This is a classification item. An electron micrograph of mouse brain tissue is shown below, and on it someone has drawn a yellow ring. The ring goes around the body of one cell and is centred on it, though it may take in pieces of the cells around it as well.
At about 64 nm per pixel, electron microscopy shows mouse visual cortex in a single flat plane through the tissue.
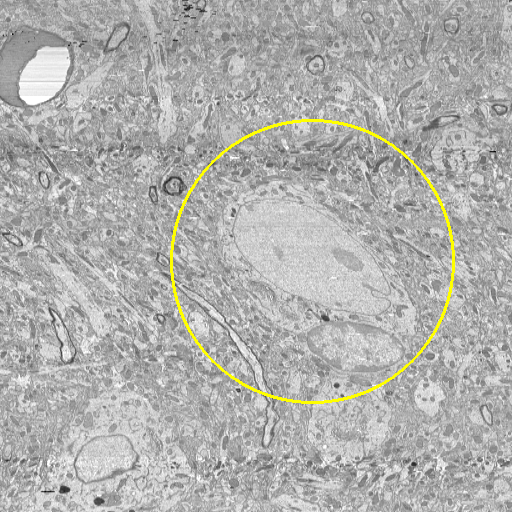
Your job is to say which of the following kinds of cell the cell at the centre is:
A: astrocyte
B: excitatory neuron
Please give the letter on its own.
B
